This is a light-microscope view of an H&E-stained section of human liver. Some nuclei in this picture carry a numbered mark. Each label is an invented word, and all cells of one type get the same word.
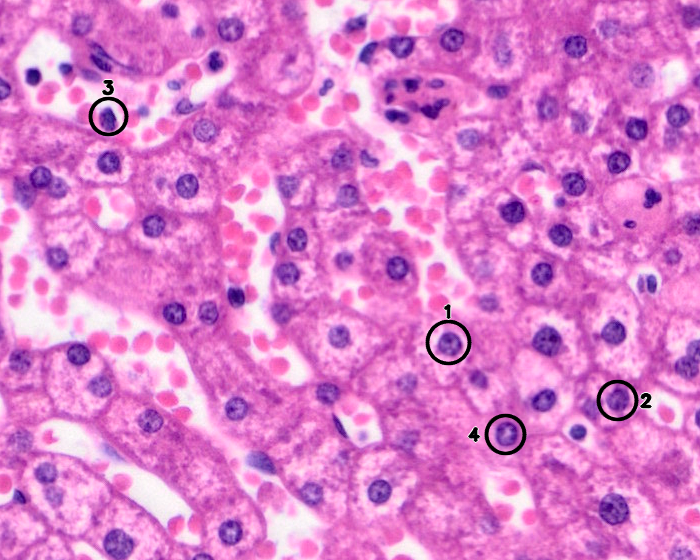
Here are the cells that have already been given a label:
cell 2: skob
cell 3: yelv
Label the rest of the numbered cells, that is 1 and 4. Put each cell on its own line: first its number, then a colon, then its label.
1: skob
4: skob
